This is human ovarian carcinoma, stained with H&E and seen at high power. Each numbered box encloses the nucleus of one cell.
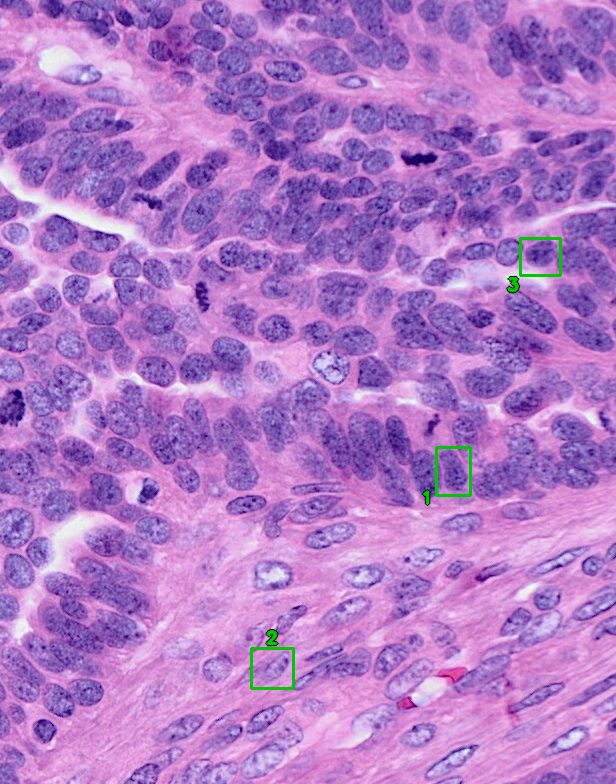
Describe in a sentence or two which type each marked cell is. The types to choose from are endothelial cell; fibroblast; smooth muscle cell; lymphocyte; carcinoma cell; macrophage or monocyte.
Cells 1 and 3 are carcinoma cells. Cell 2 is a fibroblast.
